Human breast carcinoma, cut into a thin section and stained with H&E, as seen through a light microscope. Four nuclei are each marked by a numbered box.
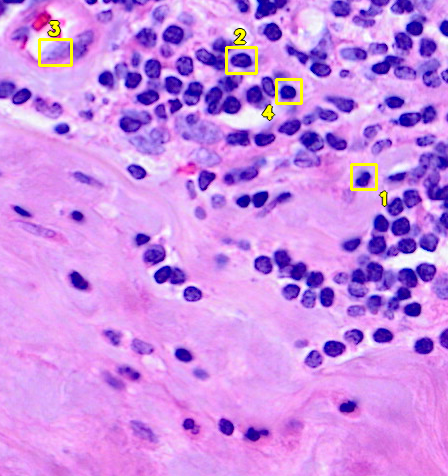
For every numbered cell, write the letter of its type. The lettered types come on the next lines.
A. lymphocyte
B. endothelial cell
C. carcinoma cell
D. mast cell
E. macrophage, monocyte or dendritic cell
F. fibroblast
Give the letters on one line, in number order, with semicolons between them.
A; A; B; A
